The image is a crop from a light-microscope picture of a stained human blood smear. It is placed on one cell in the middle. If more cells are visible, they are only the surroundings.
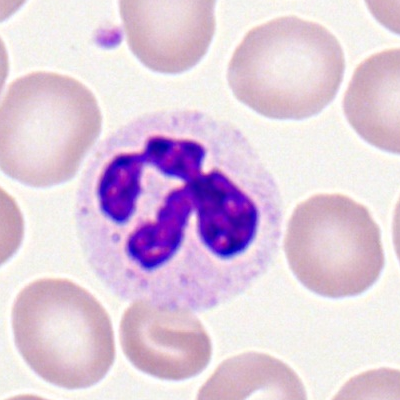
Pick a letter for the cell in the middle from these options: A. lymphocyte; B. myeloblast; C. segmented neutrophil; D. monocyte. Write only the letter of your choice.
C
